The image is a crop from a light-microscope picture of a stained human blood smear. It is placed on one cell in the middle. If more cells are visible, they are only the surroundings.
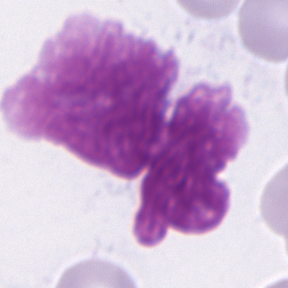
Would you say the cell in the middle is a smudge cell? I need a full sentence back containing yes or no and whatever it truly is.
Yes, the cell at the center of the crop is a smudge cell.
